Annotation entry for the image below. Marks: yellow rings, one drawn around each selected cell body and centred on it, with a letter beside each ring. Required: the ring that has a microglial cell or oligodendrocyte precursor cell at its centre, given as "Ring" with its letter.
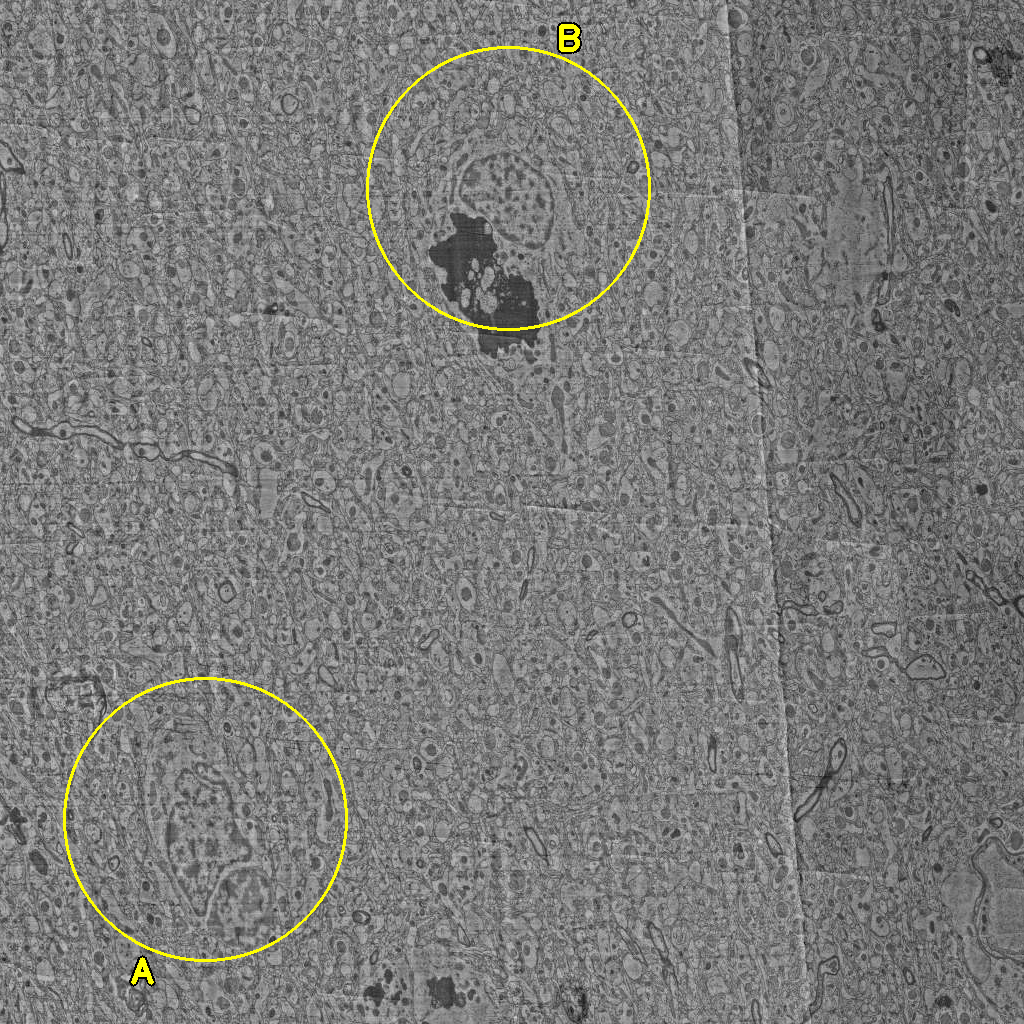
Ring A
